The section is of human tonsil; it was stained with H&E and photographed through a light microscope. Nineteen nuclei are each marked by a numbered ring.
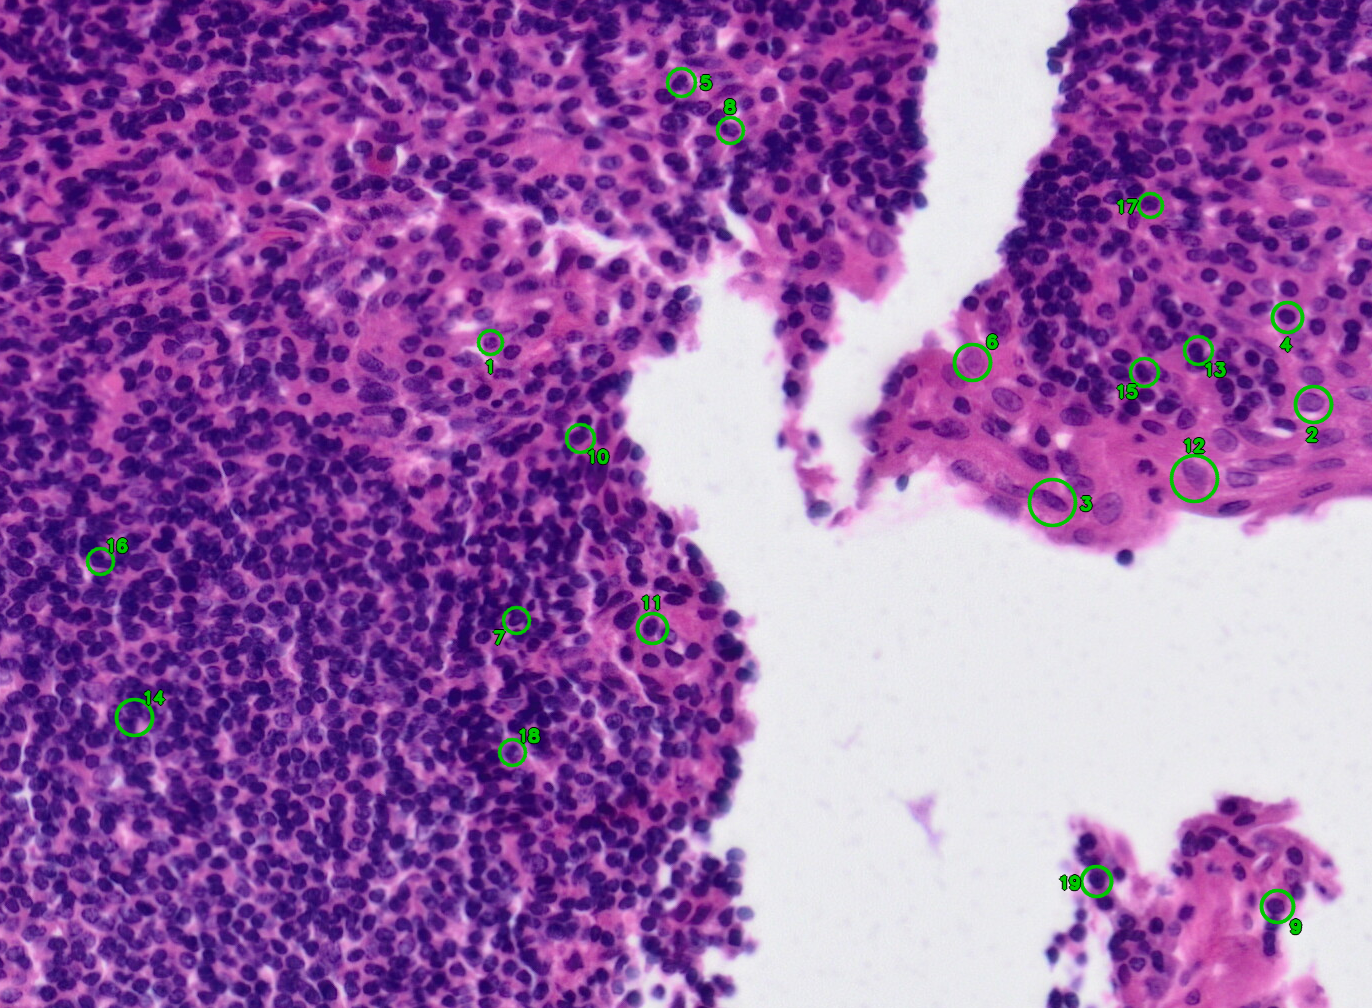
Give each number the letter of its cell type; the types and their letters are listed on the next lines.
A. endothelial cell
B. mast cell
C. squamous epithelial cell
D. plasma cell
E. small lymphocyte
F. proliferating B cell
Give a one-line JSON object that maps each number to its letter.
{"1": "D", "2": "C", "3": "C", "4": "D", "5": "D", "6": "C", "7": "E", "8": "D", "9": "D", "10": "E", "11": "D", "12": "C", "13": "D", "14": "E", "15": "D", "16": "E", "17": "D", "18": "E", "19": "D"}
